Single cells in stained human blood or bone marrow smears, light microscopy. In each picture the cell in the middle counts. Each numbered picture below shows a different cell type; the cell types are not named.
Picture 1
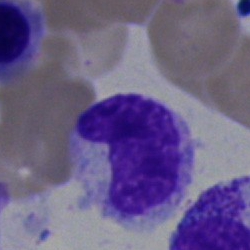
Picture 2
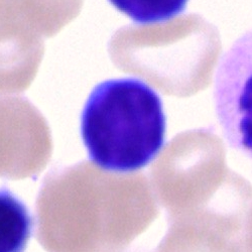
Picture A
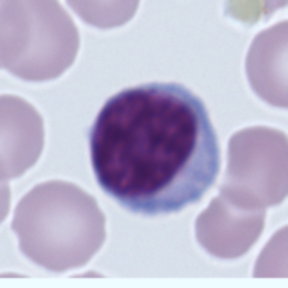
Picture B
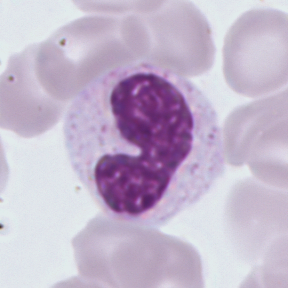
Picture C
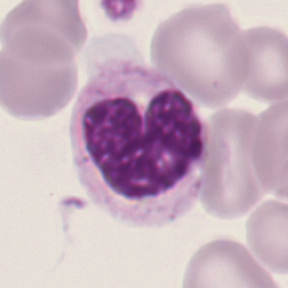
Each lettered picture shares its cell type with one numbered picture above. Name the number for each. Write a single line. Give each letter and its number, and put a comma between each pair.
A 2, B 1, C 1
